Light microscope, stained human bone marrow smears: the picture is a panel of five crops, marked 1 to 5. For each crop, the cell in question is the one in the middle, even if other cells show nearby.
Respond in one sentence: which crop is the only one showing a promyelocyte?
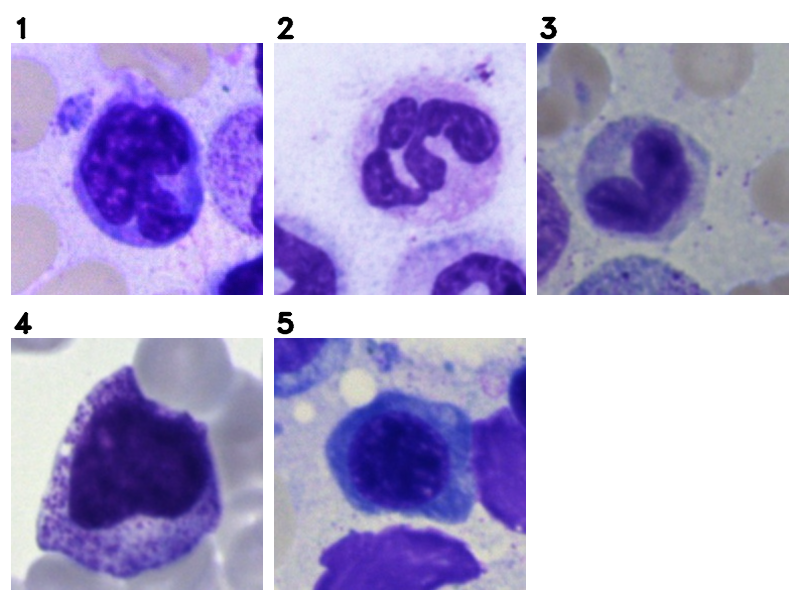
In this series, a promyelocyte is shown by crop 4.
